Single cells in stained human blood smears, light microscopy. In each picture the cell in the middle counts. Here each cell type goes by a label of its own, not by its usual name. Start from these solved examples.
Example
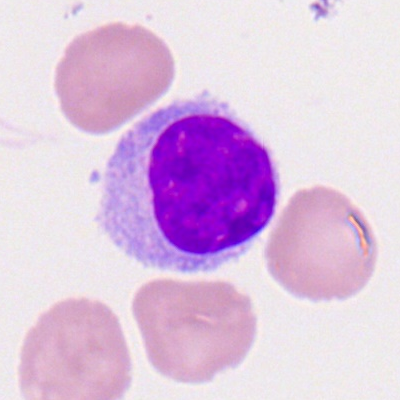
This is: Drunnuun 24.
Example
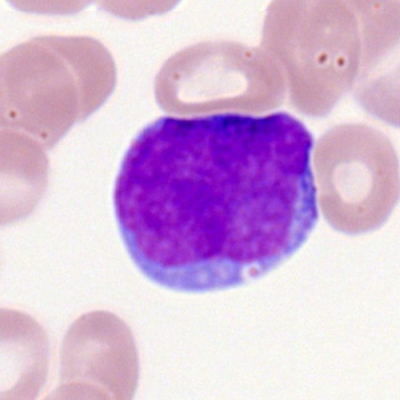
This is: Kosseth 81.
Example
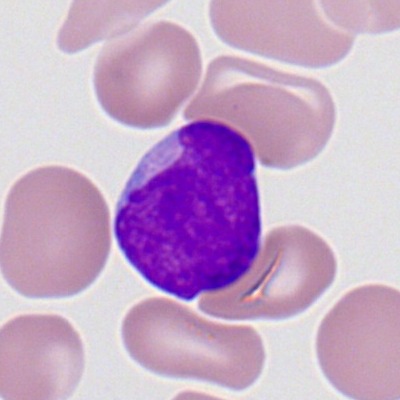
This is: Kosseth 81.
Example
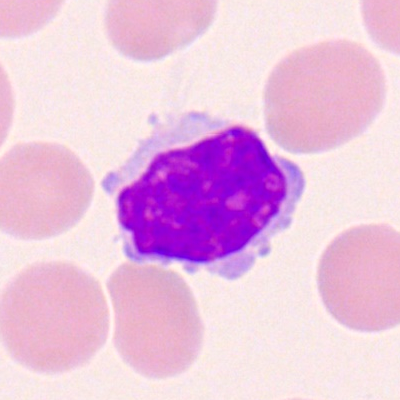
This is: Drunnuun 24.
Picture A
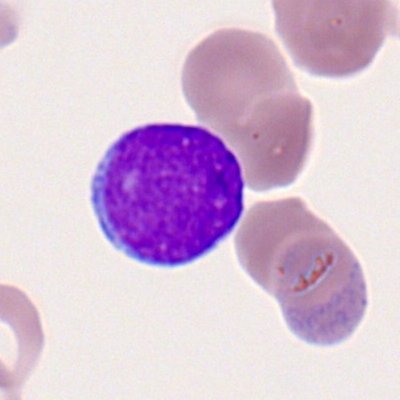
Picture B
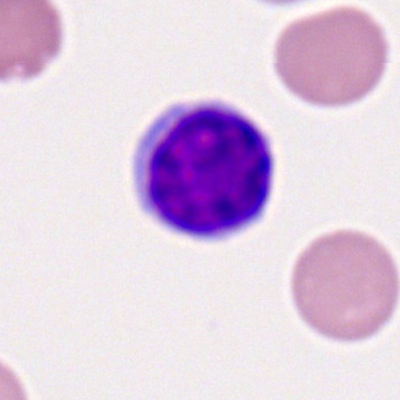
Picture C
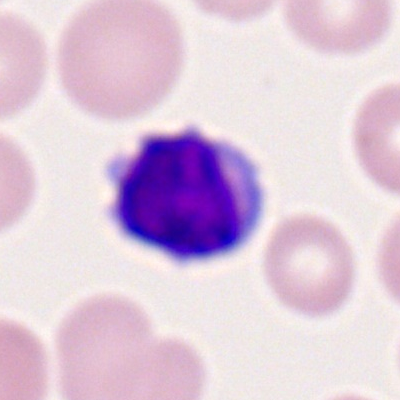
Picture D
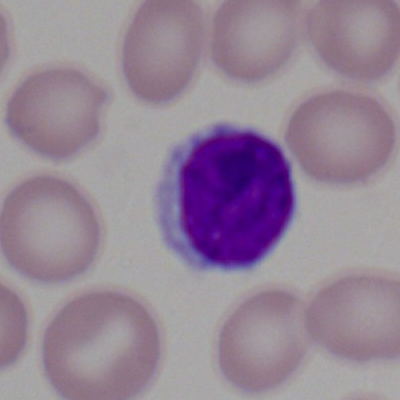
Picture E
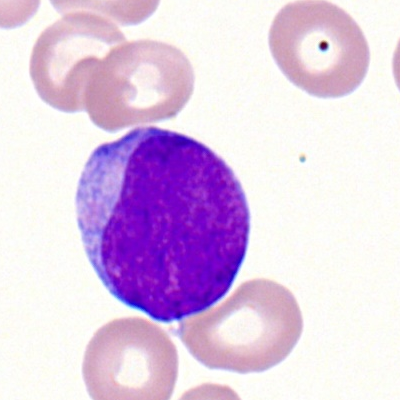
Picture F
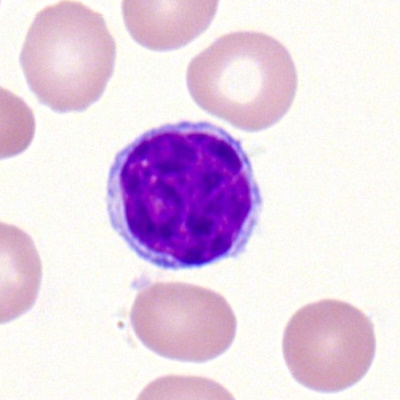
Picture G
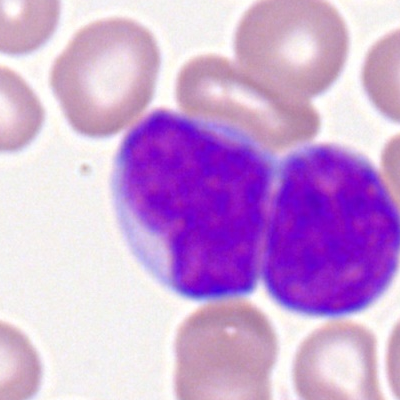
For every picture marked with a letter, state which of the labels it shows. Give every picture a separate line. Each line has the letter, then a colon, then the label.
A: Kosseth 81.
B: Drunnuun 24.
C: Drunnuun 24.
D: Drunnuun 24.
E: Kosseth 81.
F: Drunnuun 24.
G: Kosseth 81.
